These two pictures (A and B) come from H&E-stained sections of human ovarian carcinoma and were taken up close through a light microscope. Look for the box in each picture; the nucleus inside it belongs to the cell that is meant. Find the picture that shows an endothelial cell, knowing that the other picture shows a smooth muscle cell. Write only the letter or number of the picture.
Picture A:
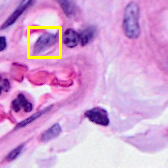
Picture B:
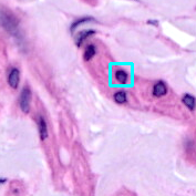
A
